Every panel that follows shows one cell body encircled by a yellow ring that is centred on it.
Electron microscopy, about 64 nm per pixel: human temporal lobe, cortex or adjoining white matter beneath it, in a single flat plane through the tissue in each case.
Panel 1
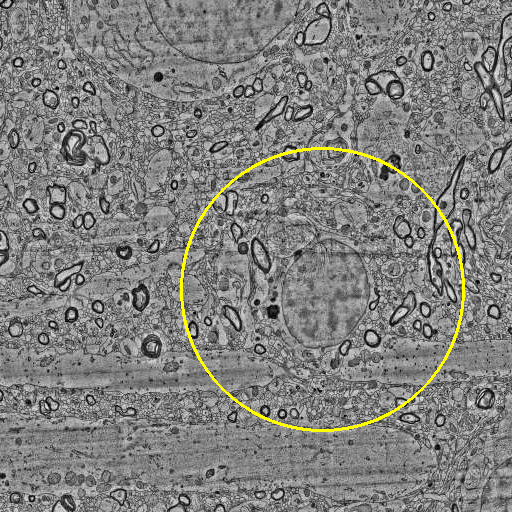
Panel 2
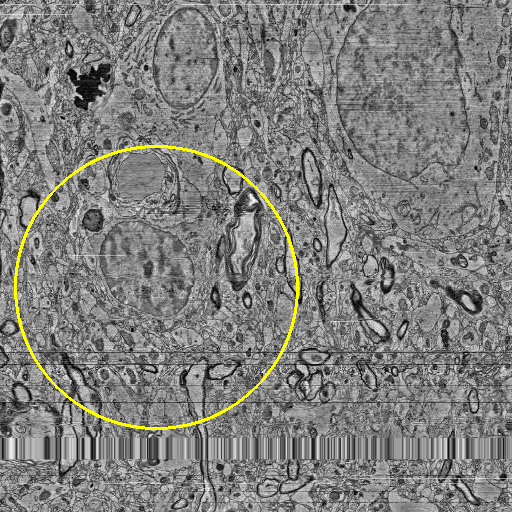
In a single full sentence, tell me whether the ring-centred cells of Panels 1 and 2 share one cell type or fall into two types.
In Panel 1 and Panel 2, the cells at the ring centres share one cell type.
